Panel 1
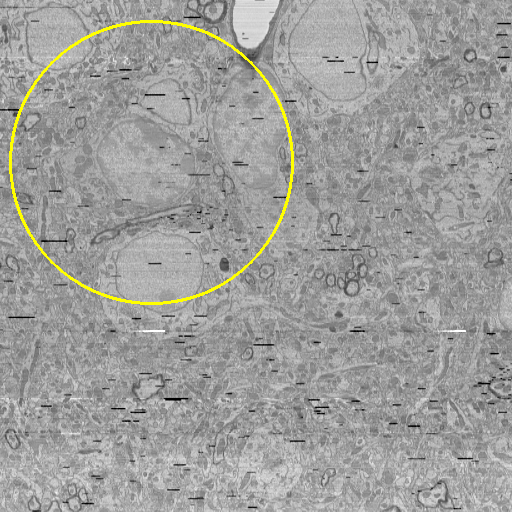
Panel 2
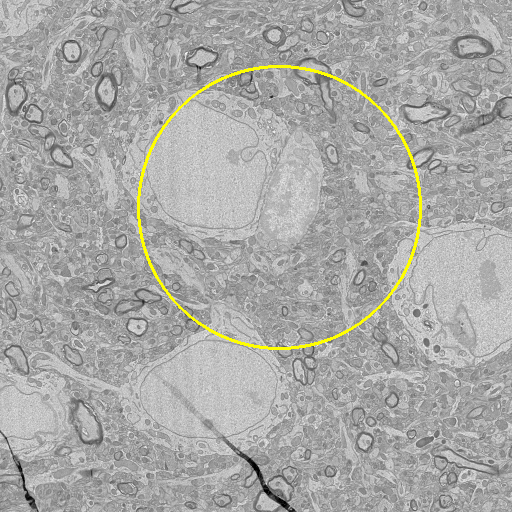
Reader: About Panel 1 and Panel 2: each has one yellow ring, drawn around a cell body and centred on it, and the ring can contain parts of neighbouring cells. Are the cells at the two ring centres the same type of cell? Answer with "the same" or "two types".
the same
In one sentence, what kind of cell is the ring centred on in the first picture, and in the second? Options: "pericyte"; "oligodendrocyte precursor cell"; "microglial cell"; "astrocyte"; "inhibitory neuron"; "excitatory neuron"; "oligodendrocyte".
In each of the two pictures, the ringed cell is an oligodendrocyte.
